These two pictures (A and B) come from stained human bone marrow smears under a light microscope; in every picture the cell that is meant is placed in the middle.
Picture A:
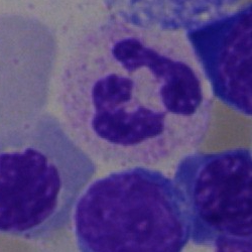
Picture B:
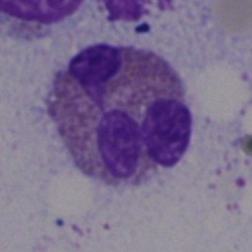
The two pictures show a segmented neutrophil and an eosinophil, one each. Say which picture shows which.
A: segmented neutrophil
B: eosinophil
